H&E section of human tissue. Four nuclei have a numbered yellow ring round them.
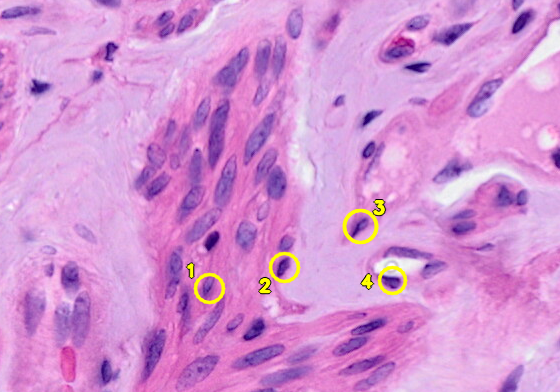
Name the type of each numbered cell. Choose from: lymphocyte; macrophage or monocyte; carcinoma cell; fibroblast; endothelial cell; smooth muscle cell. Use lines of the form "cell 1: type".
cell 1: smooth muscle cell
cell 2: smooth muscle cell
cell 3: endothelial cell
cell 4: endothelial cell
